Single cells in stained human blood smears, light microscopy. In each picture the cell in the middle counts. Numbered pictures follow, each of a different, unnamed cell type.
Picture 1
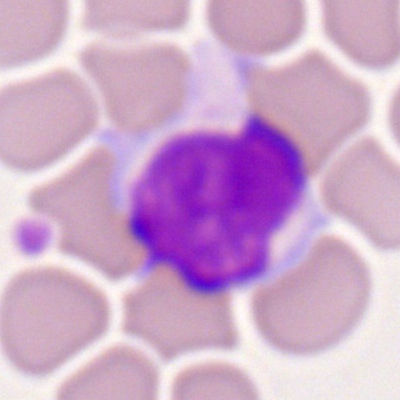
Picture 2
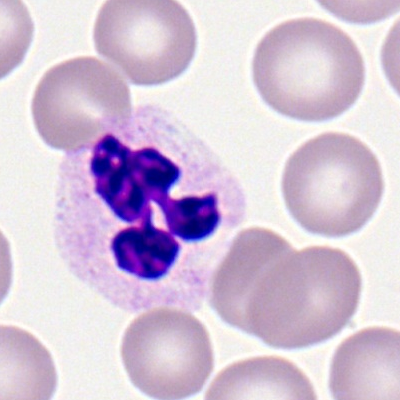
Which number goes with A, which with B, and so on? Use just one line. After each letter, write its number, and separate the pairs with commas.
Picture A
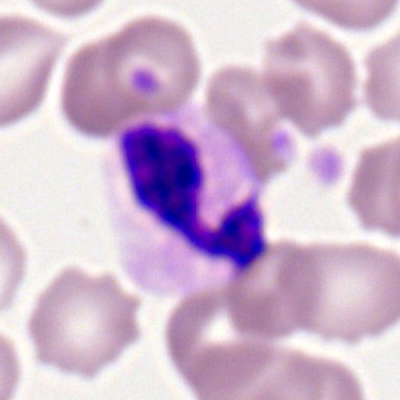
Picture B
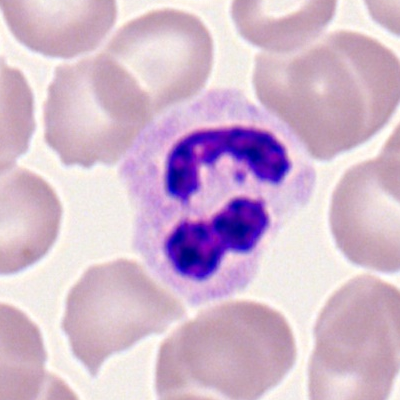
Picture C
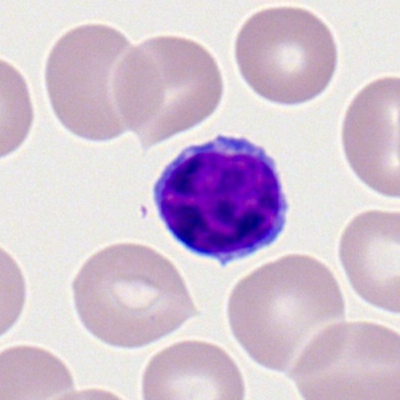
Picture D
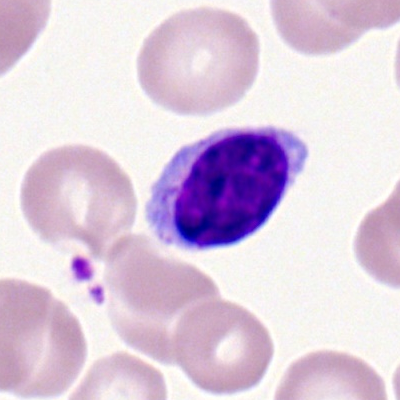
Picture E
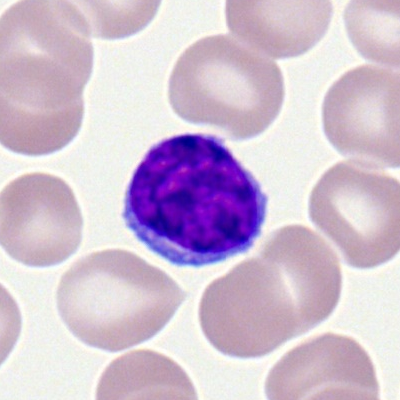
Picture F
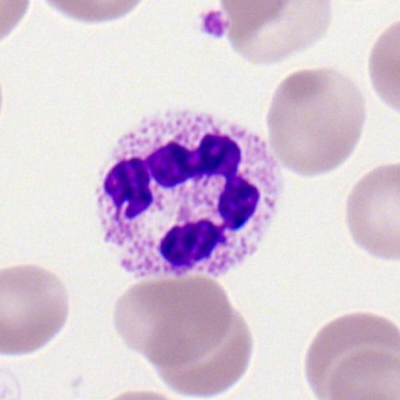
A 2, B 2, C 1, D 1, E 1, F 2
